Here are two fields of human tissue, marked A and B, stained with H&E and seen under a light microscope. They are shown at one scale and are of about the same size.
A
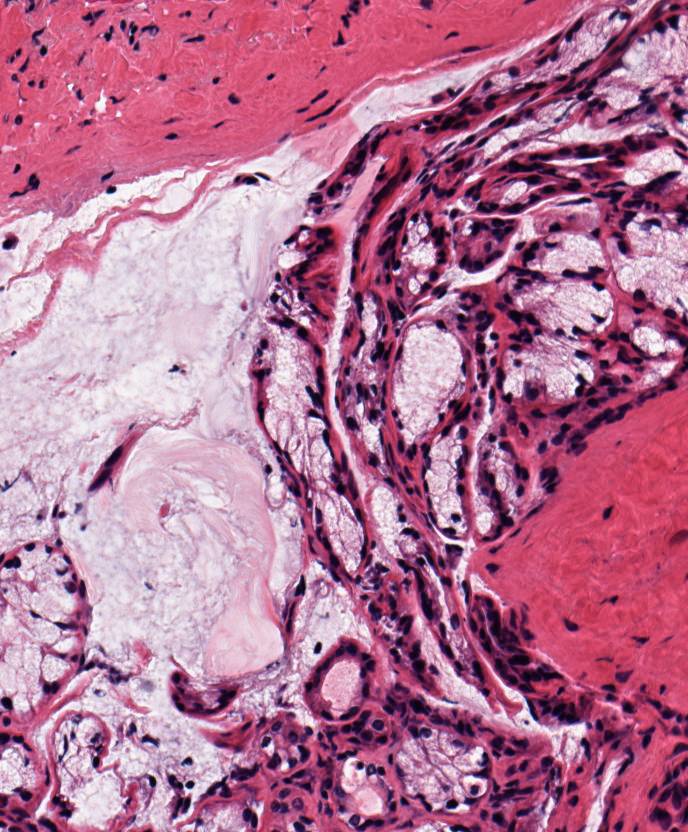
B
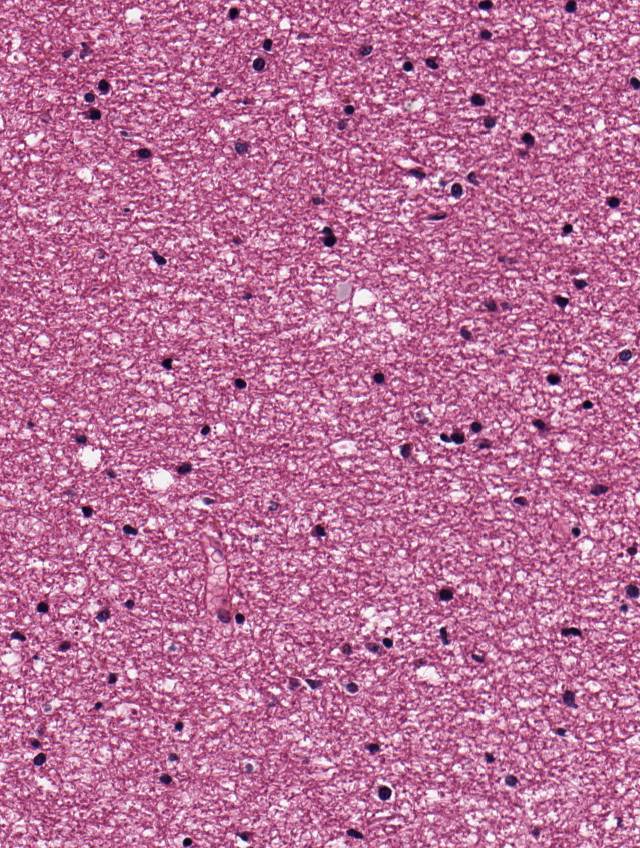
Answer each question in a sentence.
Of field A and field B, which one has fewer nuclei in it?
It is field B that has fewer nuclei in it.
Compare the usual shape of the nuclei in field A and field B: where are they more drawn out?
It is field A whose nuclei are the more elongated.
